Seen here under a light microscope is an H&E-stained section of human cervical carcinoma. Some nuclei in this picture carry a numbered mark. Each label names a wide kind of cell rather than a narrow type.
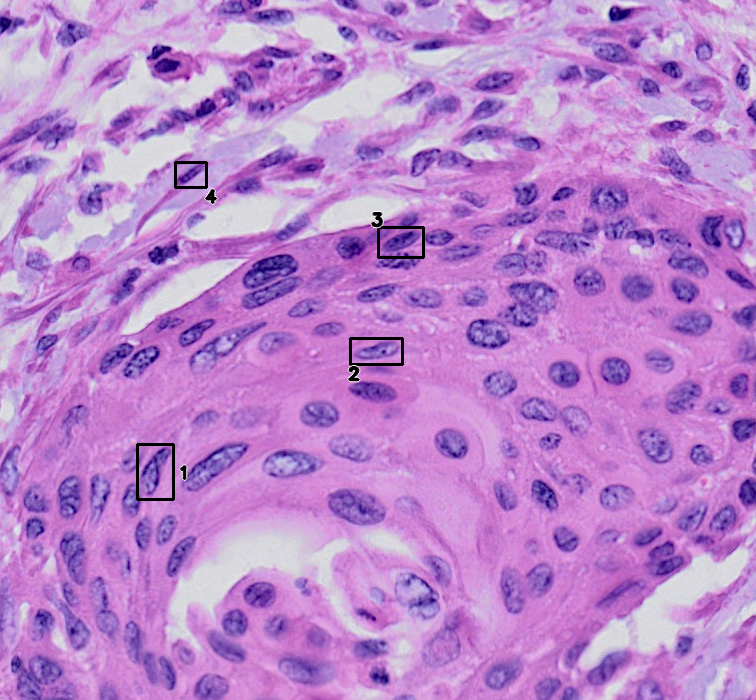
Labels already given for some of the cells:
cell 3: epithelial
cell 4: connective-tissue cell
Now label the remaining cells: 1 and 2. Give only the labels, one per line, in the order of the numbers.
epithelial
epithelial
